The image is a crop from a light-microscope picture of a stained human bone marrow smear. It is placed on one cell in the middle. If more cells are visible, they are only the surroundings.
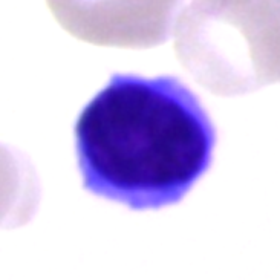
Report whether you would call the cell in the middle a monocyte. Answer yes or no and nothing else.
no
